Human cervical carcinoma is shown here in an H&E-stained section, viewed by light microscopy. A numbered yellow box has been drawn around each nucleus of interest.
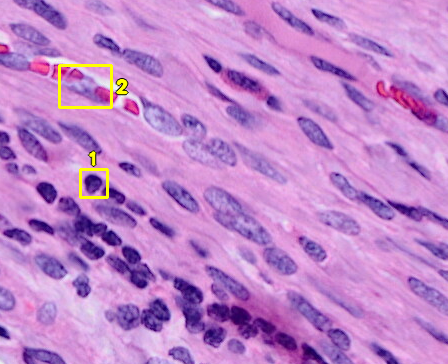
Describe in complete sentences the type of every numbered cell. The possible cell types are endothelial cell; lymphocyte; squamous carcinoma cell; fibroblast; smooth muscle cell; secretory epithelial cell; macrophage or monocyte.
Cell 1 is a lymphocyte and cell 2 is an endothelial cell.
